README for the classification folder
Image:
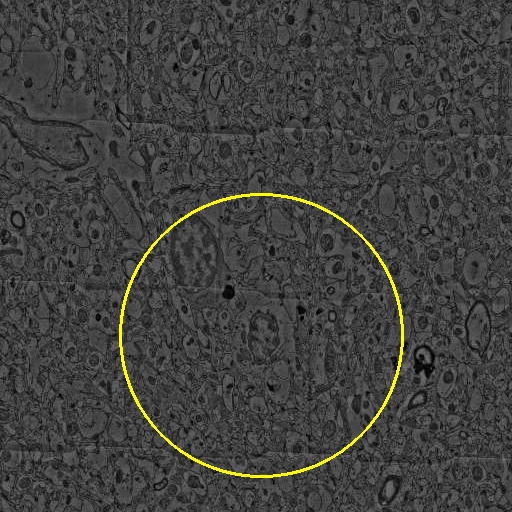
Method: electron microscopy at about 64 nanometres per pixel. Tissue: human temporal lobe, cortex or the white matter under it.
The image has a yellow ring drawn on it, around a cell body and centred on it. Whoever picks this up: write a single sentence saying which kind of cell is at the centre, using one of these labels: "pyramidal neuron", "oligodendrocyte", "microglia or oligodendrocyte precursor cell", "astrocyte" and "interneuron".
This cell body is that of a microglial cell or oligodendrocyte precursor cell.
